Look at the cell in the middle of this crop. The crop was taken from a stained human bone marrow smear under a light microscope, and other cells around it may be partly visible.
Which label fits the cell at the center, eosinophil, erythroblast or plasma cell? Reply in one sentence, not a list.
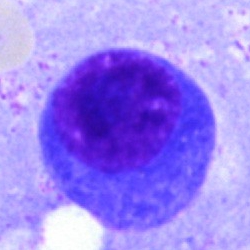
The cell at the middle of the frame should be recorded as a plasma cell.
